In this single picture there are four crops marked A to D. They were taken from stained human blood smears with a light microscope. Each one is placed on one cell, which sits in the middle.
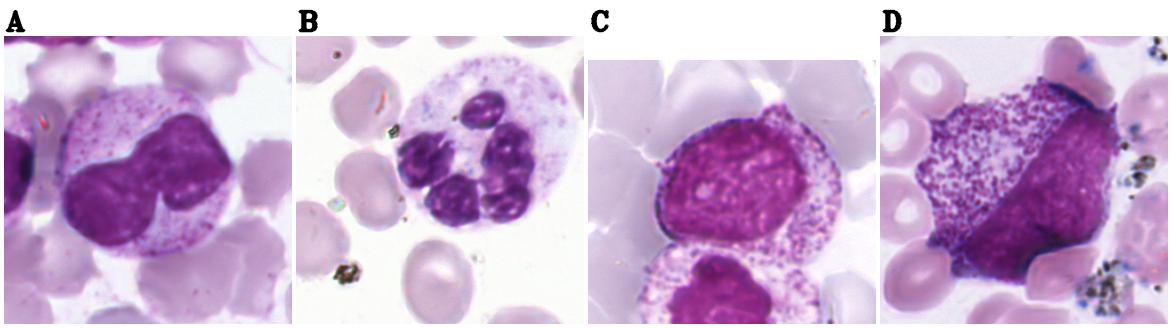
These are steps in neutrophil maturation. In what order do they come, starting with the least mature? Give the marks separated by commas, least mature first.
D, C, A, B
